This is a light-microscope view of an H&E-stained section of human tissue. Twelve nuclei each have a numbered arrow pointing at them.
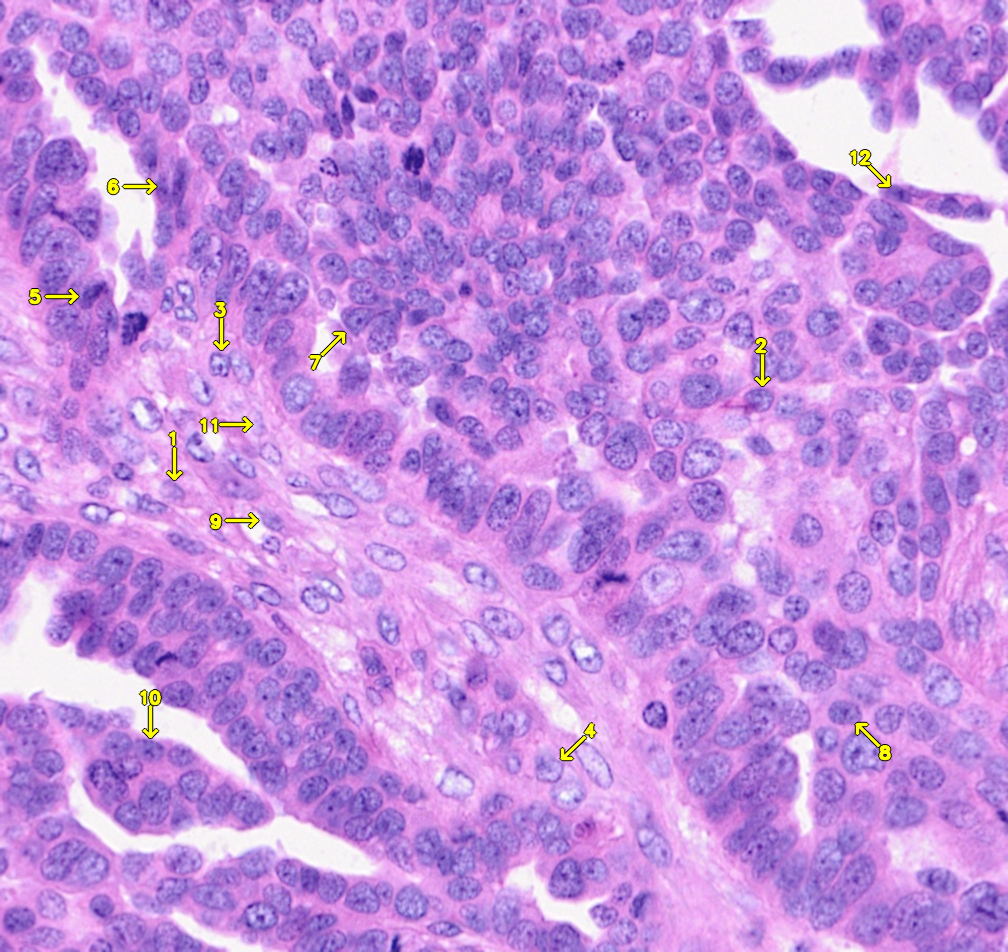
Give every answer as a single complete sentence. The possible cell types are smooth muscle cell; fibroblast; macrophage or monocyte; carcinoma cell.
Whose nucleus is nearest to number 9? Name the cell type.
The nucleus nearest to number 9 is that of a macrophage or monocyte.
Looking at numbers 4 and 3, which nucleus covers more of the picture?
It is nucleus 4, which covers about 1.5 times the area of nucleus 3.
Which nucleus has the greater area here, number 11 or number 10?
Number 10 is larger; its area is about 2.5 times that of number 11.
